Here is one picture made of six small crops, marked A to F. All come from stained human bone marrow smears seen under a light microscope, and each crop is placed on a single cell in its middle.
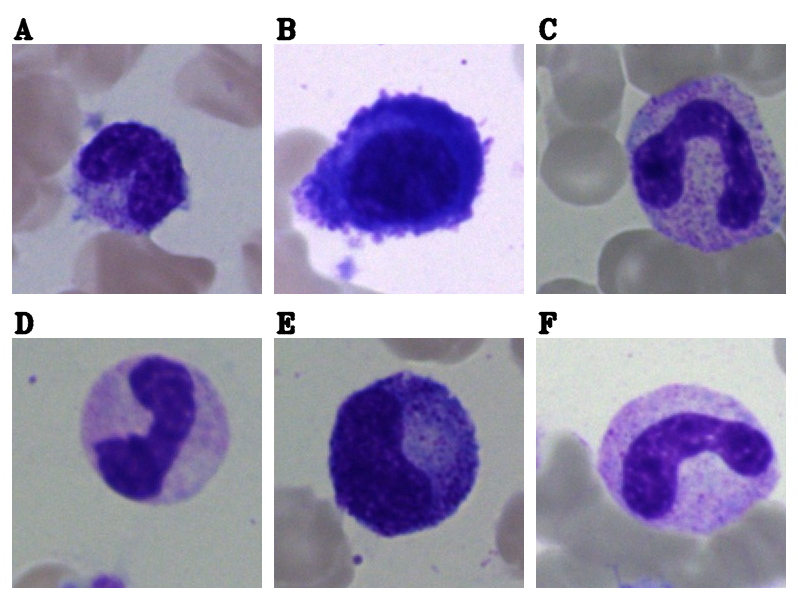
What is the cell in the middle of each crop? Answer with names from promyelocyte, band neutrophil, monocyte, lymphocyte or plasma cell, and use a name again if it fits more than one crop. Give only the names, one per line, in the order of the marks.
band neutrophil
plasma cell
band neutrophil
band neutrophil
promyelocyte
band neutrophil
